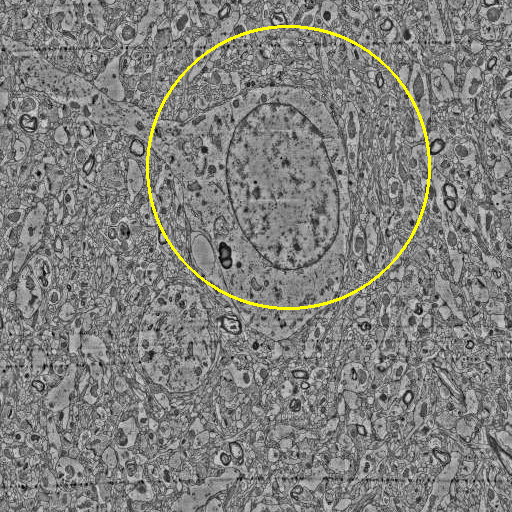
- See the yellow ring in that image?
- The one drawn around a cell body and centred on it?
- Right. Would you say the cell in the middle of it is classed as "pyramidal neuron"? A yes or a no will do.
yes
